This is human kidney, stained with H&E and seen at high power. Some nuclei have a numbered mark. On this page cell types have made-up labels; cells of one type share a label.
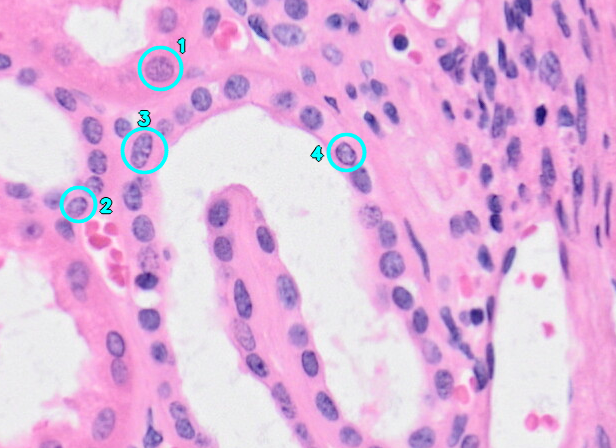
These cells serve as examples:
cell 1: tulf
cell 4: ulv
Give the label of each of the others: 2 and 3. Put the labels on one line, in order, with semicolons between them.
ulv; ulv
